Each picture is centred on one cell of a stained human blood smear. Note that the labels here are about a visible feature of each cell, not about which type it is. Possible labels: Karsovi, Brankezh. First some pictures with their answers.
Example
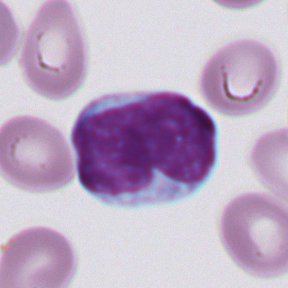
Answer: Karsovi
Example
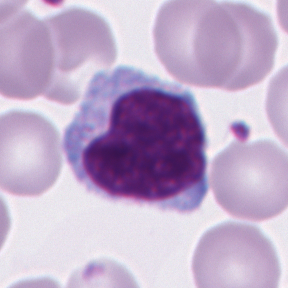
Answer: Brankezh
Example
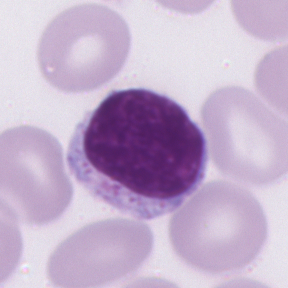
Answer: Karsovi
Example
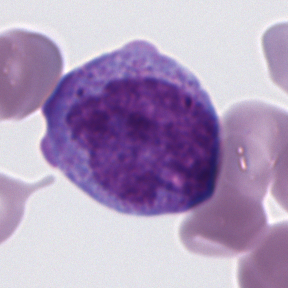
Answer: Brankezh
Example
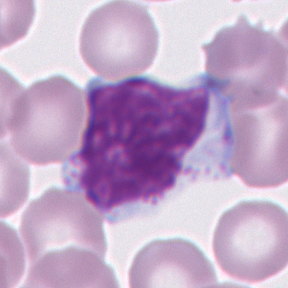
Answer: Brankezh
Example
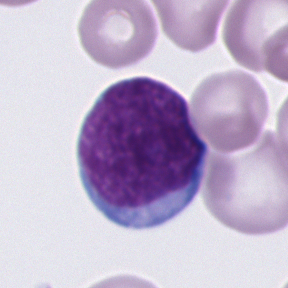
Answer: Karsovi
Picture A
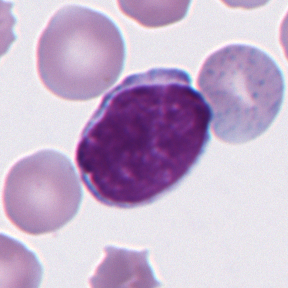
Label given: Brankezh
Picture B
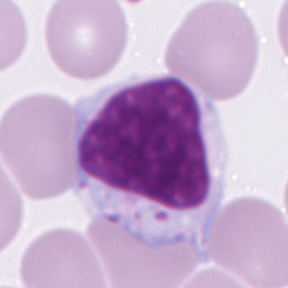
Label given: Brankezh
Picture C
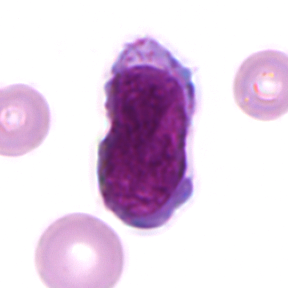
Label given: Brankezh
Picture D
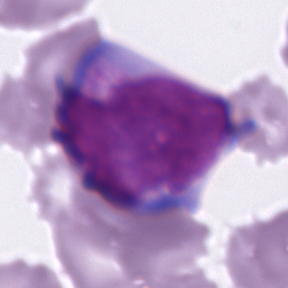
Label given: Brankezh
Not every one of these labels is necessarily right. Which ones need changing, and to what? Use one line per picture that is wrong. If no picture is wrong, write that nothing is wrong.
A: Karsovi, not Brankezh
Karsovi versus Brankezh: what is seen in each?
Karsovi, smooth outline; Brankezh, ragged outline or projections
